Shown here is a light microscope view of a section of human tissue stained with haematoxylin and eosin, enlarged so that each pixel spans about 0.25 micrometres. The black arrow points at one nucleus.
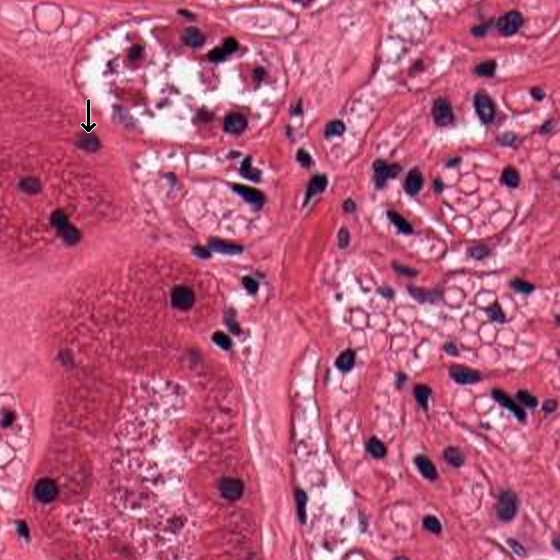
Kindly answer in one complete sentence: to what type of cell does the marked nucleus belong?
The cell bearing the marked nucleus is a proximal tubule cell.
